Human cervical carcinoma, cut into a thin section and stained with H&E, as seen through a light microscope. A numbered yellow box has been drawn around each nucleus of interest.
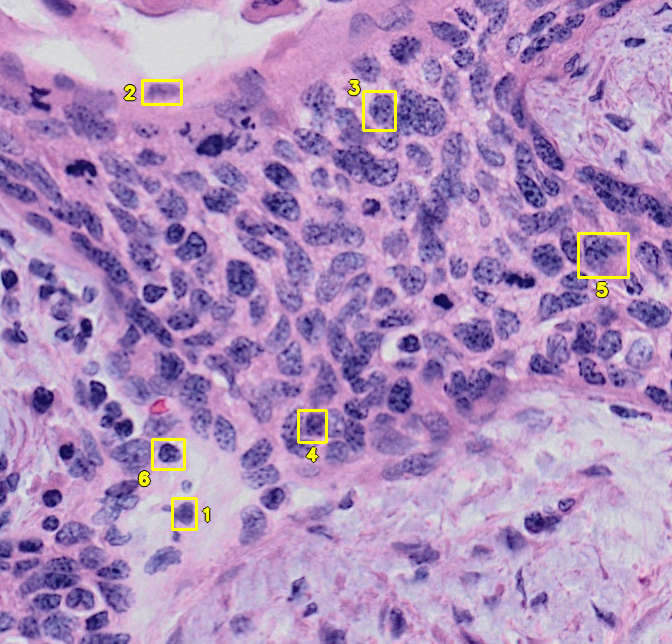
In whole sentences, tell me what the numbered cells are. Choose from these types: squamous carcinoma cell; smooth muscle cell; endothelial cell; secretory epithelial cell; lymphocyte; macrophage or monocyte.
Cells 1 and 6 are lymphocytes. Cells 2, 3, 4 and 5 are squamous carcinoma cells.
